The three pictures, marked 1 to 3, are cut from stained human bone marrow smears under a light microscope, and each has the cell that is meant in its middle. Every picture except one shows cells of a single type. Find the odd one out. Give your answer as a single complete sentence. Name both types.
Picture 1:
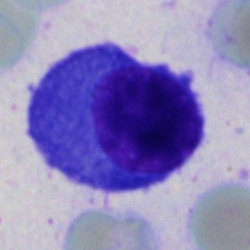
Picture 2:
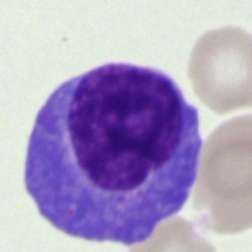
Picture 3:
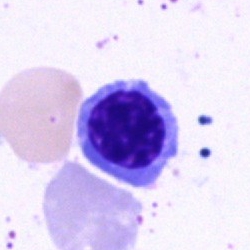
The others show plasma cells, but picture 3 shows an erythroblast.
